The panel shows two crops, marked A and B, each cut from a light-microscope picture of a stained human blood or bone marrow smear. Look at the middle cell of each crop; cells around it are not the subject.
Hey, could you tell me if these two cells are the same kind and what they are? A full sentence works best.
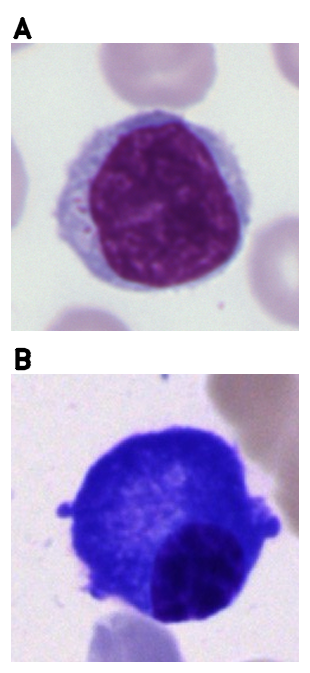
No, look again: crop A shows a lymphocyte, and crop B shows a plasma cell.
